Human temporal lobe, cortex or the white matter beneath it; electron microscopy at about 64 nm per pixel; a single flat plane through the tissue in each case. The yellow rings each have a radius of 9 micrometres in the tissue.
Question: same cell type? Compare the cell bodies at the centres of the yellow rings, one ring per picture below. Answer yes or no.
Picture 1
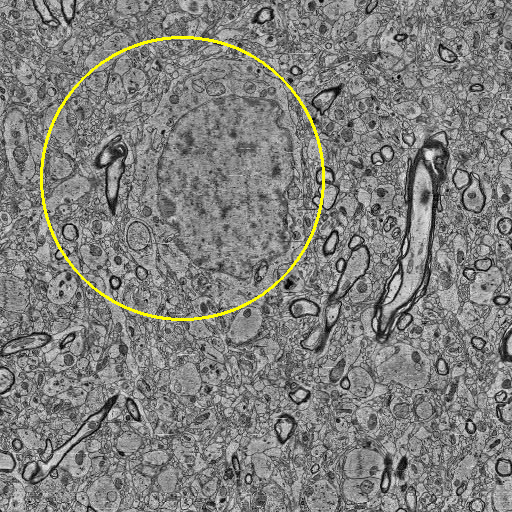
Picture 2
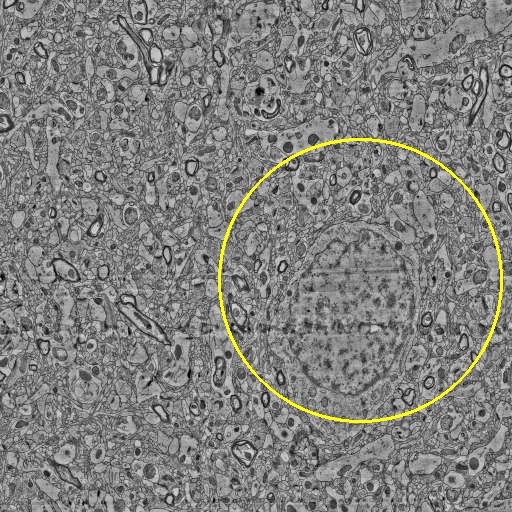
yes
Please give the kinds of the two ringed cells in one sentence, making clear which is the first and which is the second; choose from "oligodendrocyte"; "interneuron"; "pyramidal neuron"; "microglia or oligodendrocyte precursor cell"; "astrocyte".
Both the first and the second picture show an interneuron in the ring.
